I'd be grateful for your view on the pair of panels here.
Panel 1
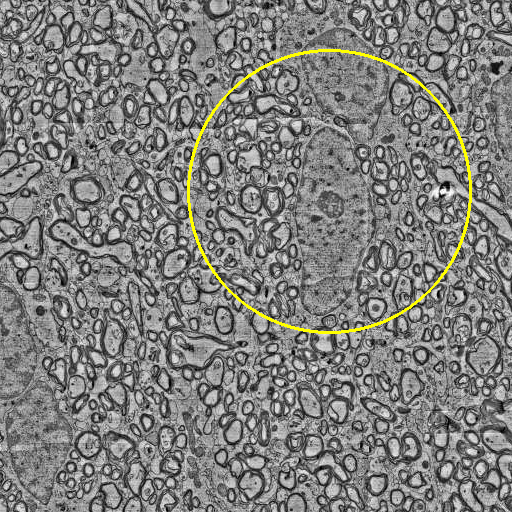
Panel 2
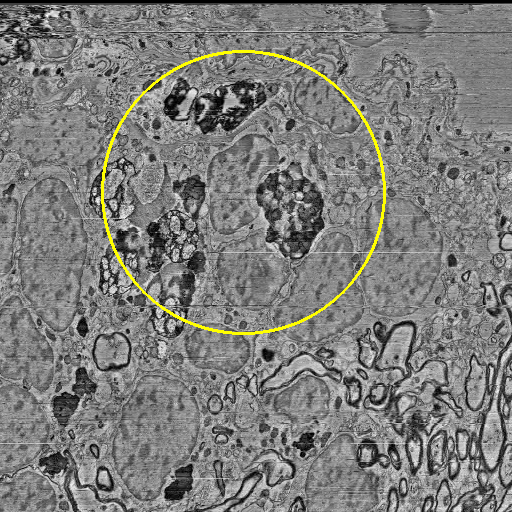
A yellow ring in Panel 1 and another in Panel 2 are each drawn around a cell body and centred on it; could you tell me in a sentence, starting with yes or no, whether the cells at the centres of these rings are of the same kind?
Yes, they are the same kind of cell.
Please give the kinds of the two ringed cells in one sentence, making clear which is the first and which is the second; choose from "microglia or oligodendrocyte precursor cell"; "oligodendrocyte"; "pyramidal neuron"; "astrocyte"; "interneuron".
The cell in the first picture is a microglial cell or oligodendrocyte precursor cell, and so is the one in the second.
